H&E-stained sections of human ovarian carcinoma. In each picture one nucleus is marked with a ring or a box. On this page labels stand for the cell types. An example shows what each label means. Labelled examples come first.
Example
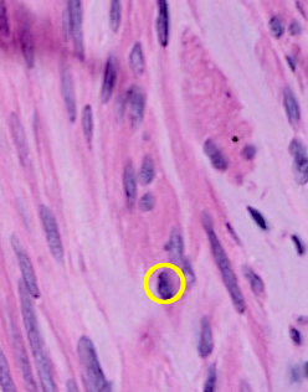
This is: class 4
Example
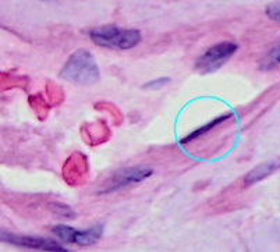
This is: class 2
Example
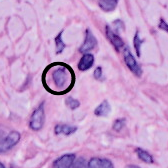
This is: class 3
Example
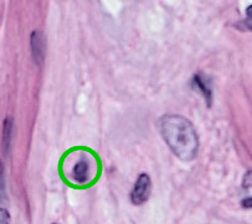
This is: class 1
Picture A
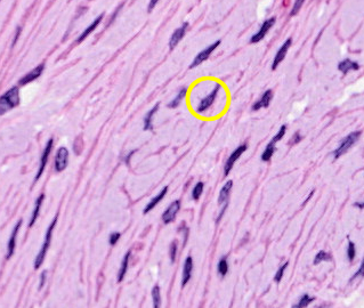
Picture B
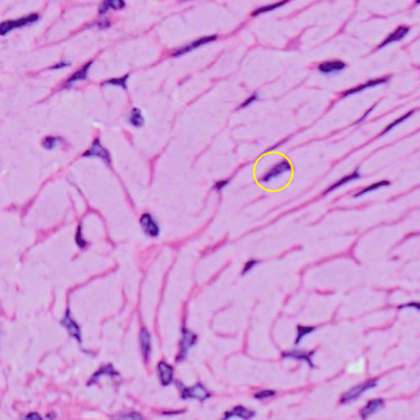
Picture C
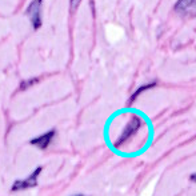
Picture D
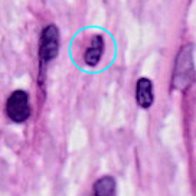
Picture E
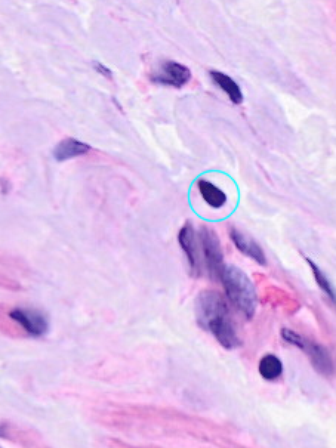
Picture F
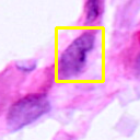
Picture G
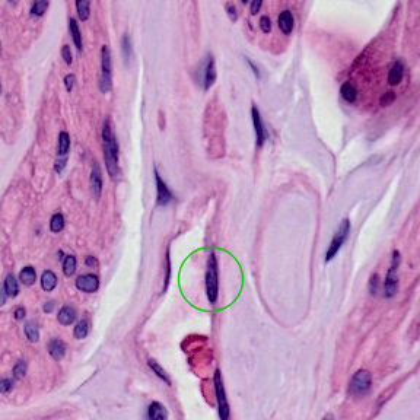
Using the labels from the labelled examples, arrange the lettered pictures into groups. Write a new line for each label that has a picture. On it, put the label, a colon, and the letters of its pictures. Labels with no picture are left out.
class 2: F, G
class 3: A, B, C
class 1: D, E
